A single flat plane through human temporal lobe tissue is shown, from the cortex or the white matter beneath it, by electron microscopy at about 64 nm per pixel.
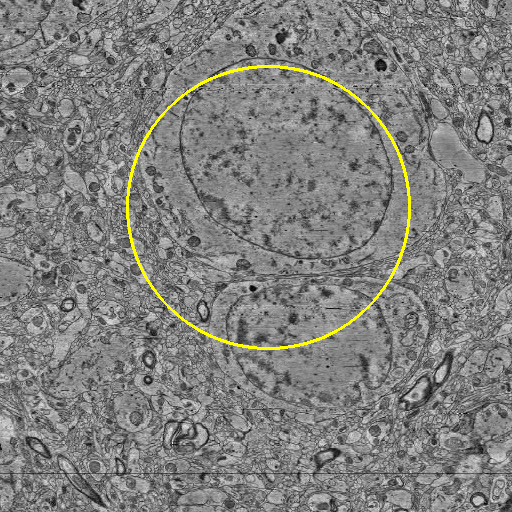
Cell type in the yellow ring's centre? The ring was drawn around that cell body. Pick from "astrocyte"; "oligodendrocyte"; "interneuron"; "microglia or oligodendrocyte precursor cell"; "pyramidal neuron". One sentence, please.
The ringed cell body is that of a pyramidal neuron.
